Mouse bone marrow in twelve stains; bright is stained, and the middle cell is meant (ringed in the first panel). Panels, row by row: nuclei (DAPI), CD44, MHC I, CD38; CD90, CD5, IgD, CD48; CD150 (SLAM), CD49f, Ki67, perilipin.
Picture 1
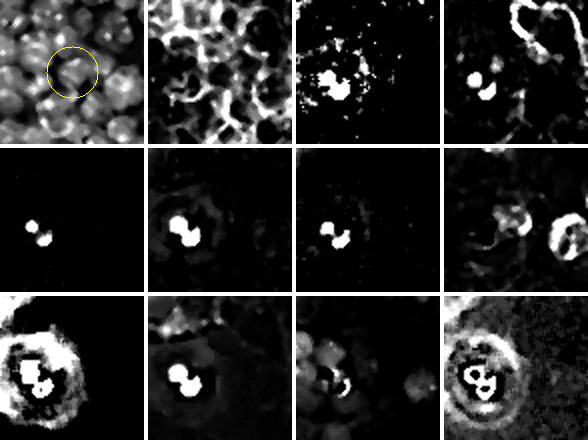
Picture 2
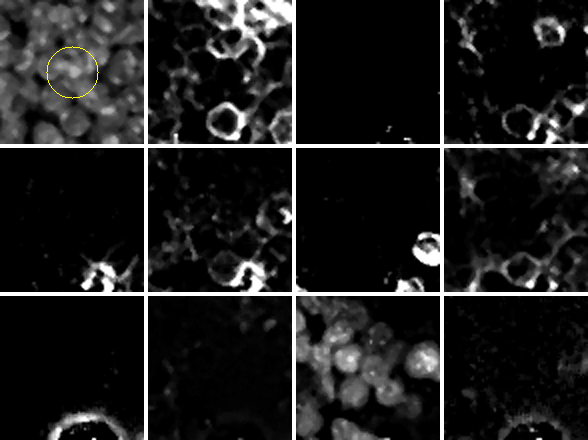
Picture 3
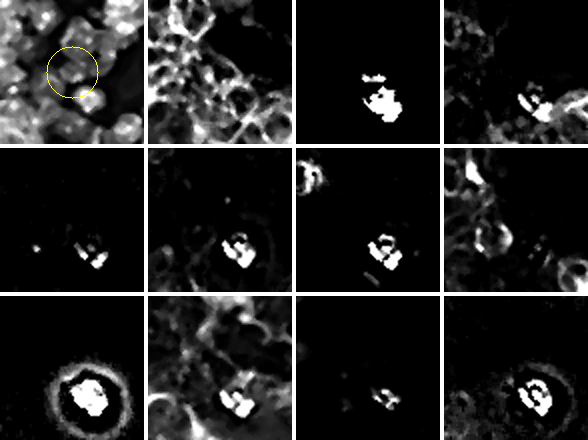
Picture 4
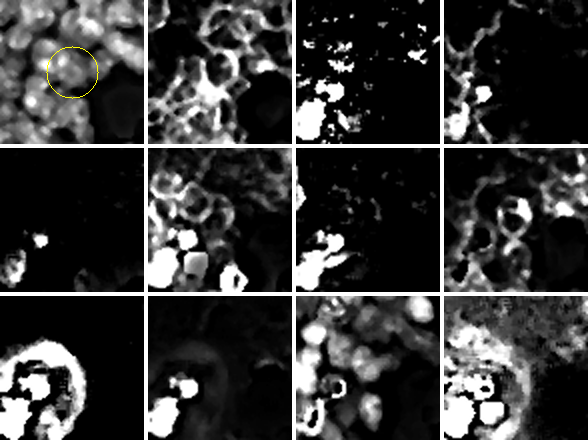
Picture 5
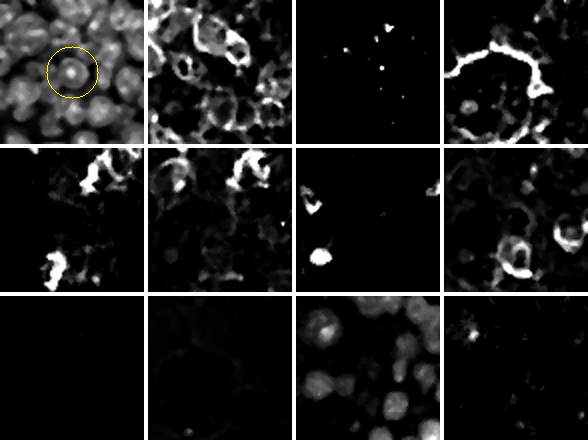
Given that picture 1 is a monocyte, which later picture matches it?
4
